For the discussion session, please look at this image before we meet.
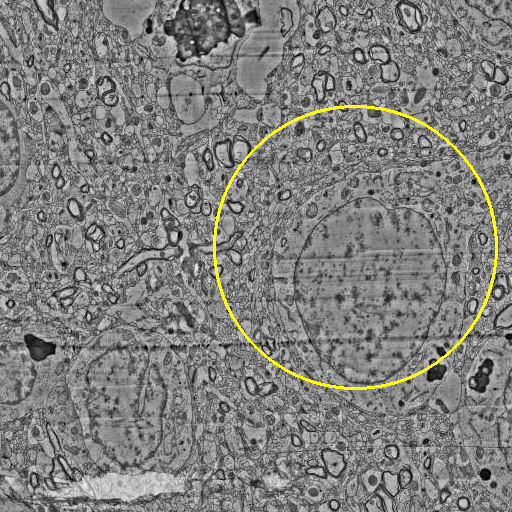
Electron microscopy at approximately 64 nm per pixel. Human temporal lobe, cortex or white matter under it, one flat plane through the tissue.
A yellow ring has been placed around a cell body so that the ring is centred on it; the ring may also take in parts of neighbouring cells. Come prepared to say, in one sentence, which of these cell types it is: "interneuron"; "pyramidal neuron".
The cell centred in the ring is a pyramidal neuron.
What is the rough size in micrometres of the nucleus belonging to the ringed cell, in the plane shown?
In this plane, the nucleus is roughly 12 by 10 micrometres.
